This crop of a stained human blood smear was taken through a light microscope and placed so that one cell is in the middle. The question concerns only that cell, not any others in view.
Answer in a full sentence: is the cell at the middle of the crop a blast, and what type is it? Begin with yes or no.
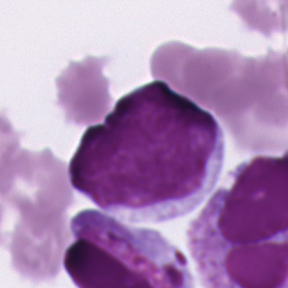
Yes, in this crop the cell in the middle is a blast.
